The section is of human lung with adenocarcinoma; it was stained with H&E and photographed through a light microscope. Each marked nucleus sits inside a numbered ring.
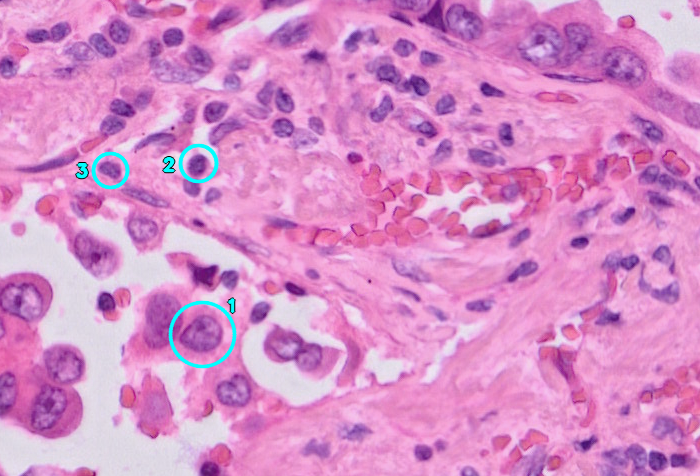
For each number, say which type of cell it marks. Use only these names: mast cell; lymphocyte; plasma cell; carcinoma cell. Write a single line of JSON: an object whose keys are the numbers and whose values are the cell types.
{"1": "carcinoma cell", "2": "lymphocyte", "3": "lymphocyte"}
